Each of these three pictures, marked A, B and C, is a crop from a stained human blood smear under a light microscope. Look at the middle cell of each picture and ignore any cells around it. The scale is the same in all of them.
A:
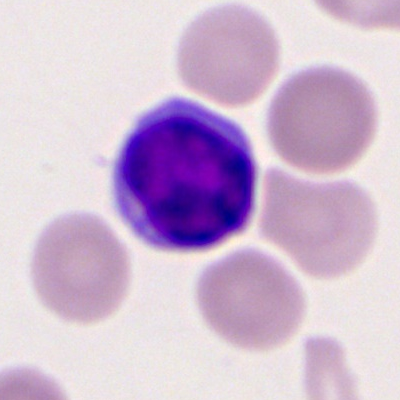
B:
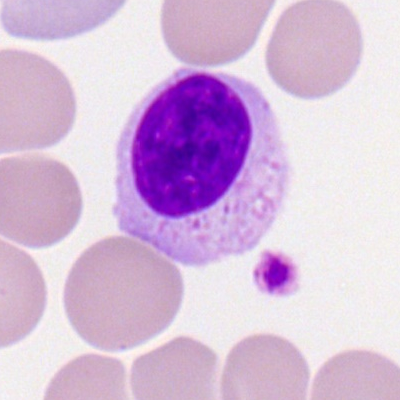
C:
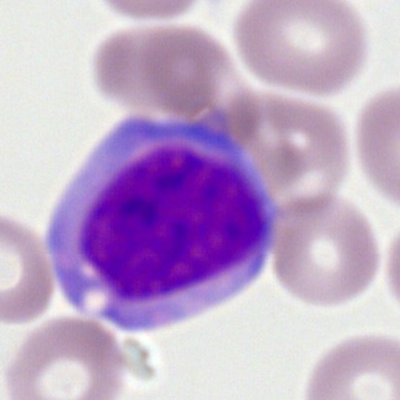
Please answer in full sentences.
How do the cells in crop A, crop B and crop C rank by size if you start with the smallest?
Going up, they run A, B, C.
